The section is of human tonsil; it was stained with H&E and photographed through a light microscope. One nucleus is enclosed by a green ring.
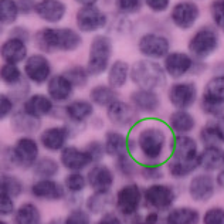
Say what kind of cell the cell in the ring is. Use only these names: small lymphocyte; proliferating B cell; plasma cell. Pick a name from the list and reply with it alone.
small lymphocyte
